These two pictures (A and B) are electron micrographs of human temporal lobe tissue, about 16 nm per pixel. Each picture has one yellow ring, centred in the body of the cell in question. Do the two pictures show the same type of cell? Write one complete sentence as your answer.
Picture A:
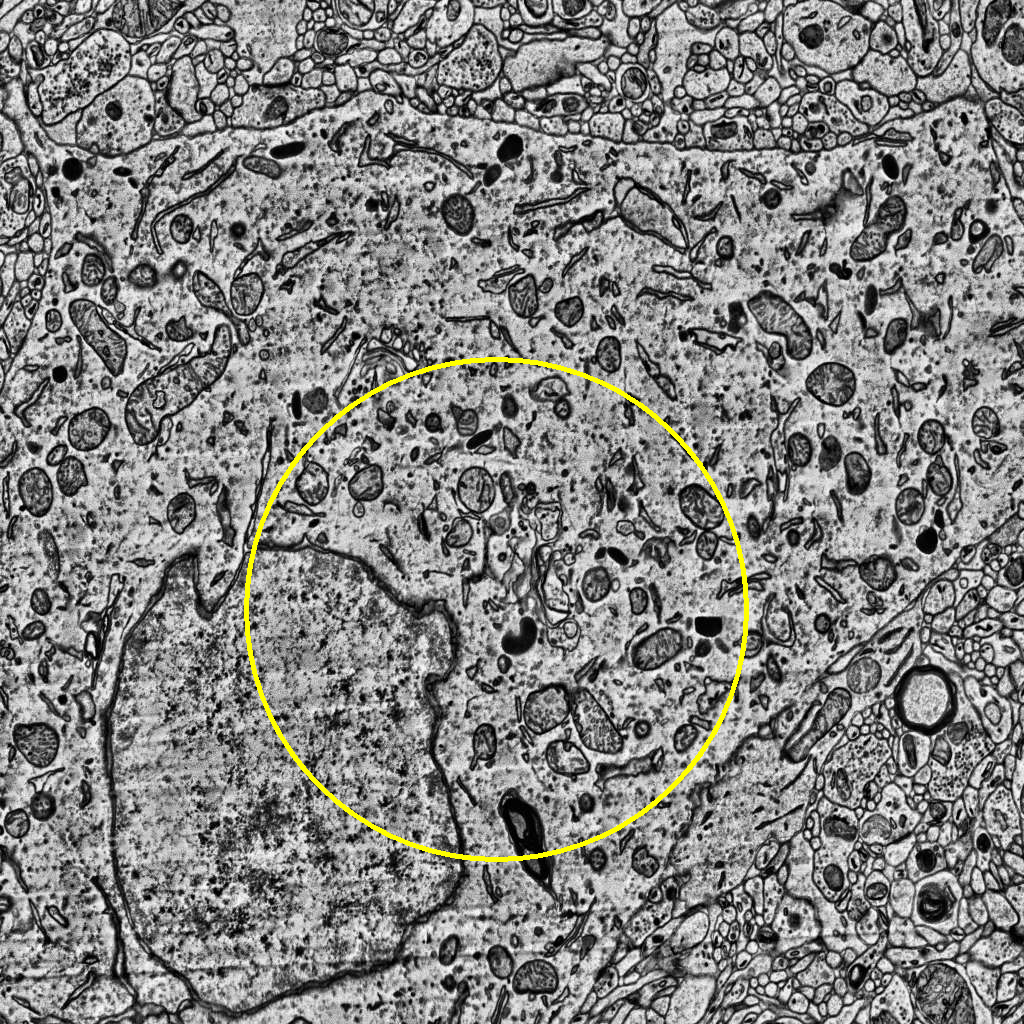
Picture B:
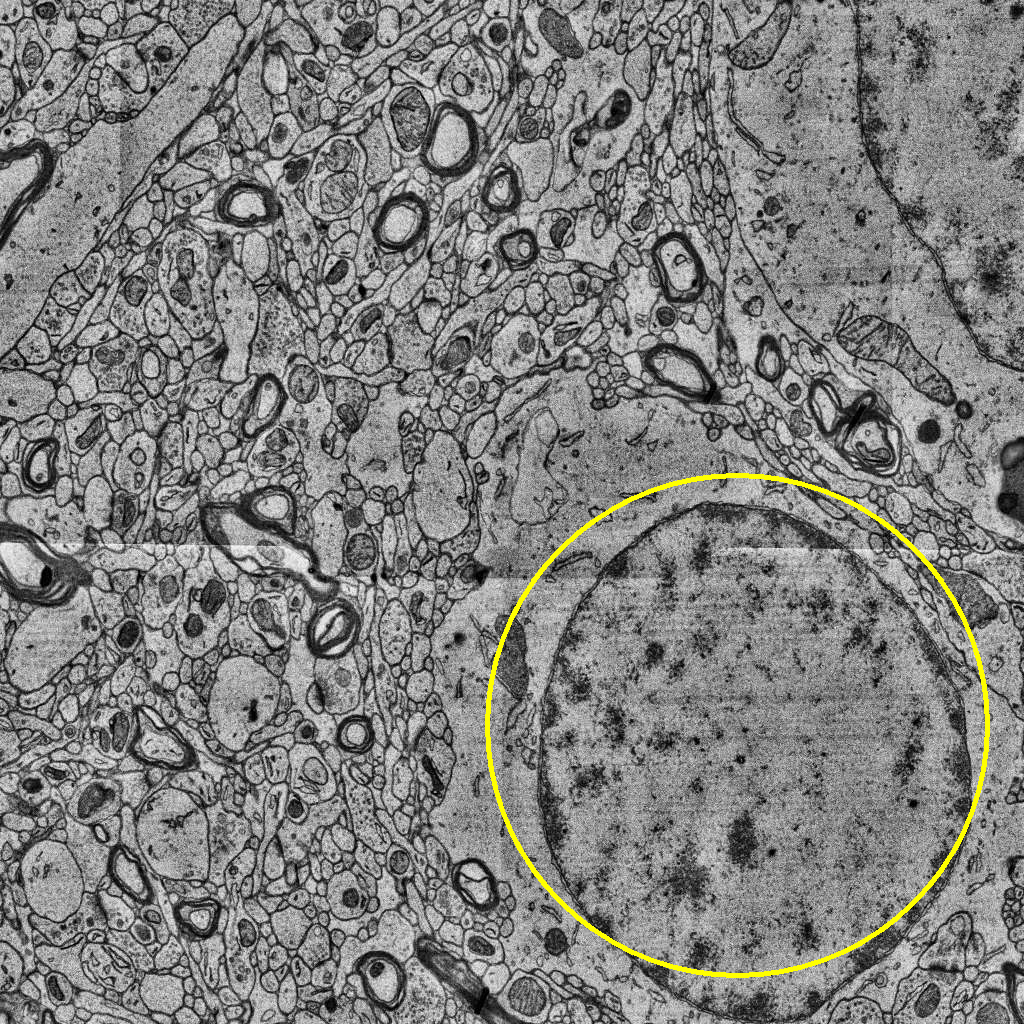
No, picture A shows an interneuron and picture B shows an astrocyte.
